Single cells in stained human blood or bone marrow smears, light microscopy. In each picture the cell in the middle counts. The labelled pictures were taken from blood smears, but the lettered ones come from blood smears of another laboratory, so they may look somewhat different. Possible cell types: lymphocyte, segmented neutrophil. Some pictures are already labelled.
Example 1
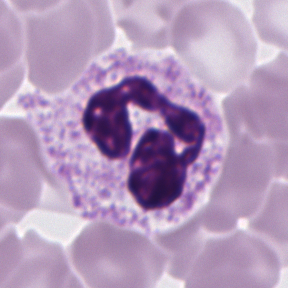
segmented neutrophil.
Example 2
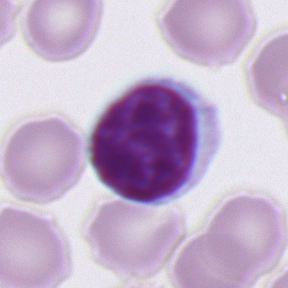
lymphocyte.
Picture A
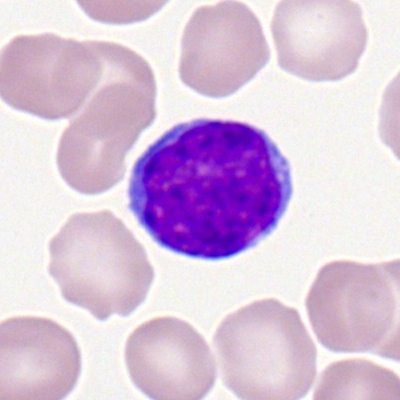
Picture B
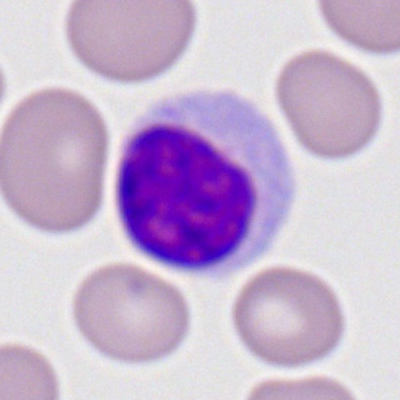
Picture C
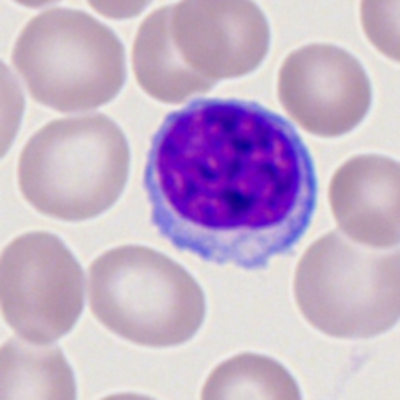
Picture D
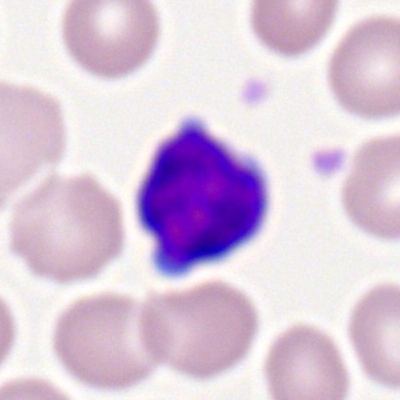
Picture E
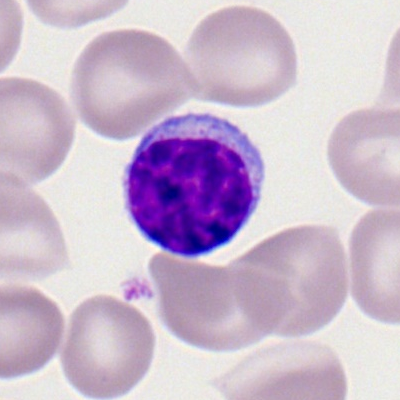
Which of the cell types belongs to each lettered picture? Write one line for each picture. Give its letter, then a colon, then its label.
A: lymphocyte.
B: lymphocyte.
C: lymphocyte.
D: lymphocyte.
E: lymphocyte.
